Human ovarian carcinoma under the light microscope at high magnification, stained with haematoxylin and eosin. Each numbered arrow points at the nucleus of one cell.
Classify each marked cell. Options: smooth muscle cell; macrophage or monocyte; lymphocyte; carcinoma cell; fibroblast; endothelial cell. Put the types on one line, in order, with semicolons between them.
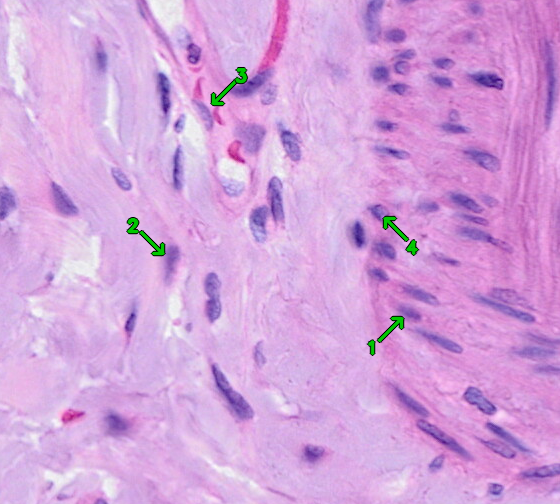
smooth muscle cell; fibroblast; endothelial cell; smooth muscle cell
